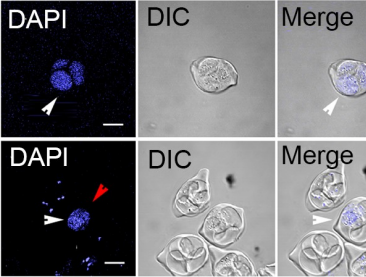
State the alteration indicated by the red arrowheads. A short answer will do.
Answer: Aborted microspores.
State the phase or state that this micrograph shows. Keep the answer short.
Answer: Tetrad stage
